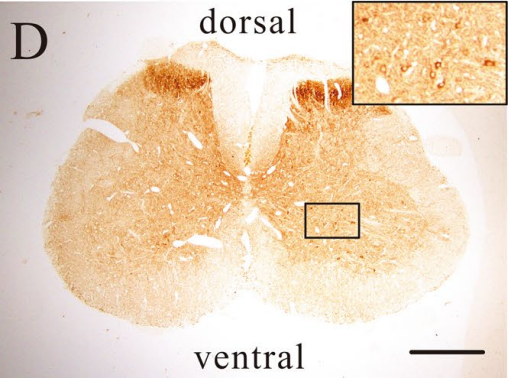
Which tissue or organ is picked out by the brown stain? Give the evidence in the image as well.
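Brown stain is densest in the butterfly-shaped central region and darkest in the dorsal horn tips. The outer zone is paler.
Hence: gray matter.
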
